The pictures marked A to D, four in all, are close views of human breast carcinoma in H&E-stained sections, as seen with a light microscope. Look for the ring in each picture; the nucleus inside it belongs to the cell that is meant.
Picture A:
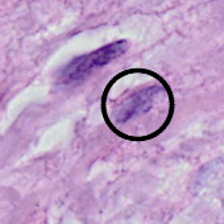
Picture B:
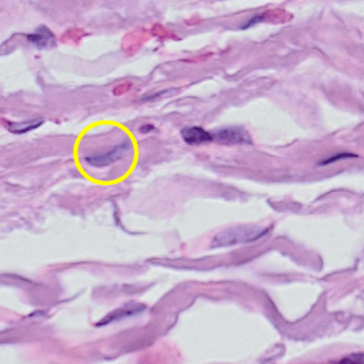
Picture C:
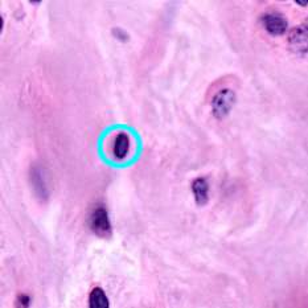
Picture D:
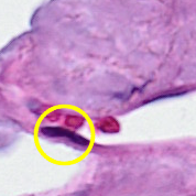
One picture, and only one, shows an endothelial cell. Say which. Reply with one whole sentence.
The picture with the endothelial cell is D.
